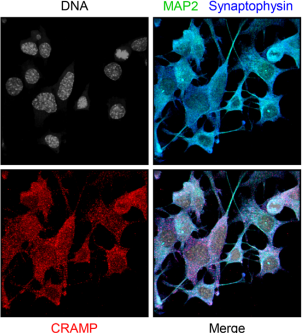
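A small group of cultured neuron-like cells, each with one large, round to oval nucleus set in an irregular, angular cell body. Thin processes run out from the cell bodies and link neighbouring cells. The red signal is granular and fills the cytoplasm of the cell bodies, while the green and blue signals outline the cell bodies and their processes.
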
